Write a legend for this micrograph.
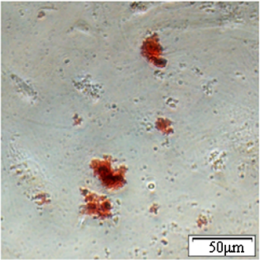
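Several clusters of red-orange droplets stand out against a pale background of flattened cells with faint outlines. Fine granular debris is scattered between them, and much of the field carries no red.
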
